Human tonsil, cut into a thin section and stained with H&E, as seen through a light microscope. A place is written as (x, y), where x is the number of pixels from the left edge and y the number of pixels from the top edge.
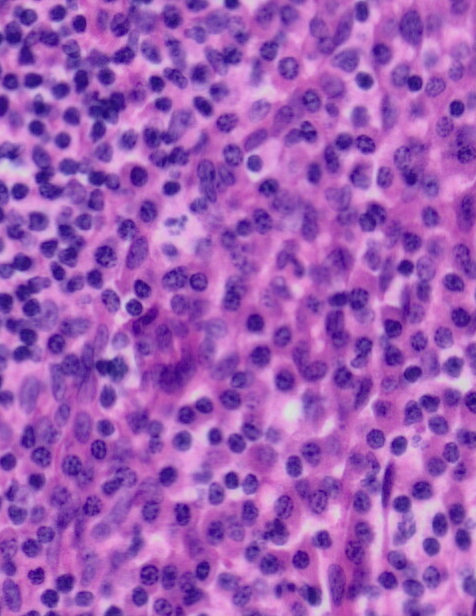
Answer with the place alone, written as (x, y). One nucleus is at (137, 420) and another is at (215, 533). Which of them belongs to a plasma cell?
(215, 533)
